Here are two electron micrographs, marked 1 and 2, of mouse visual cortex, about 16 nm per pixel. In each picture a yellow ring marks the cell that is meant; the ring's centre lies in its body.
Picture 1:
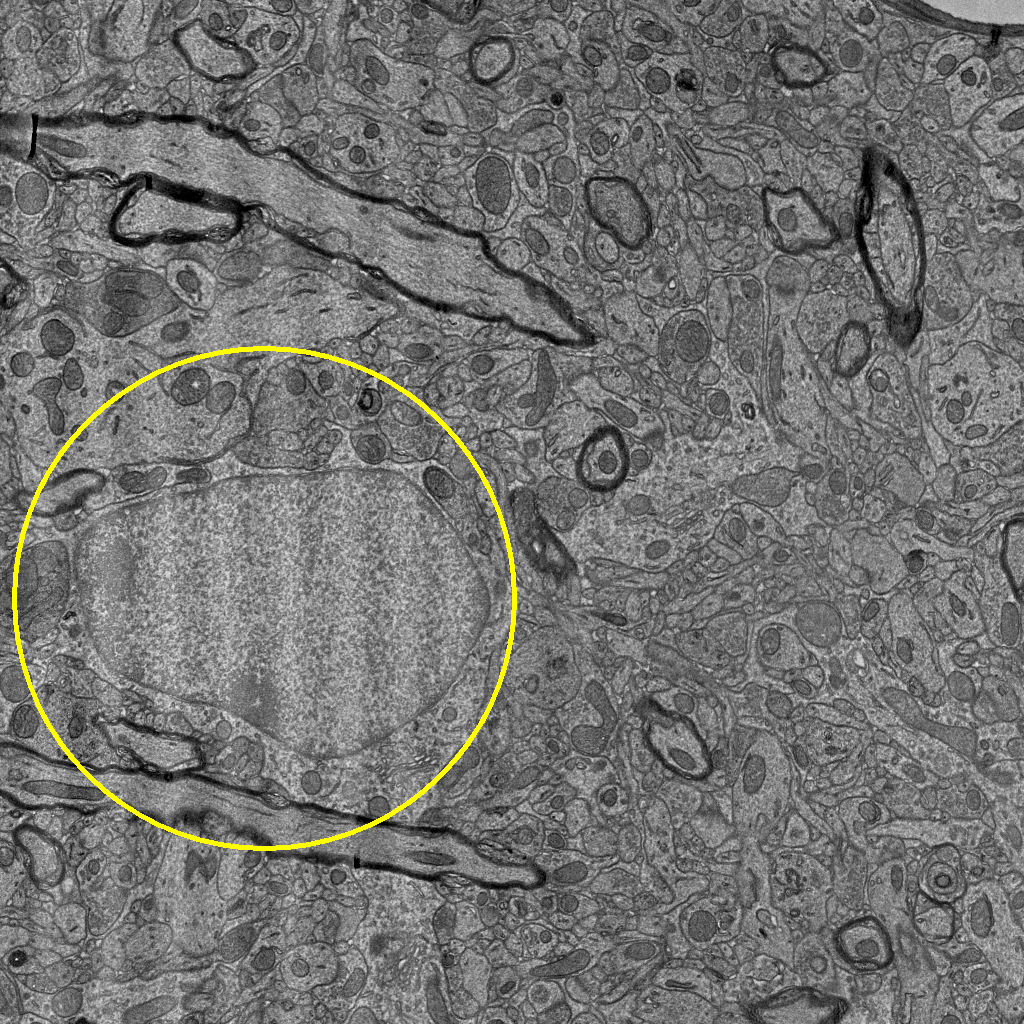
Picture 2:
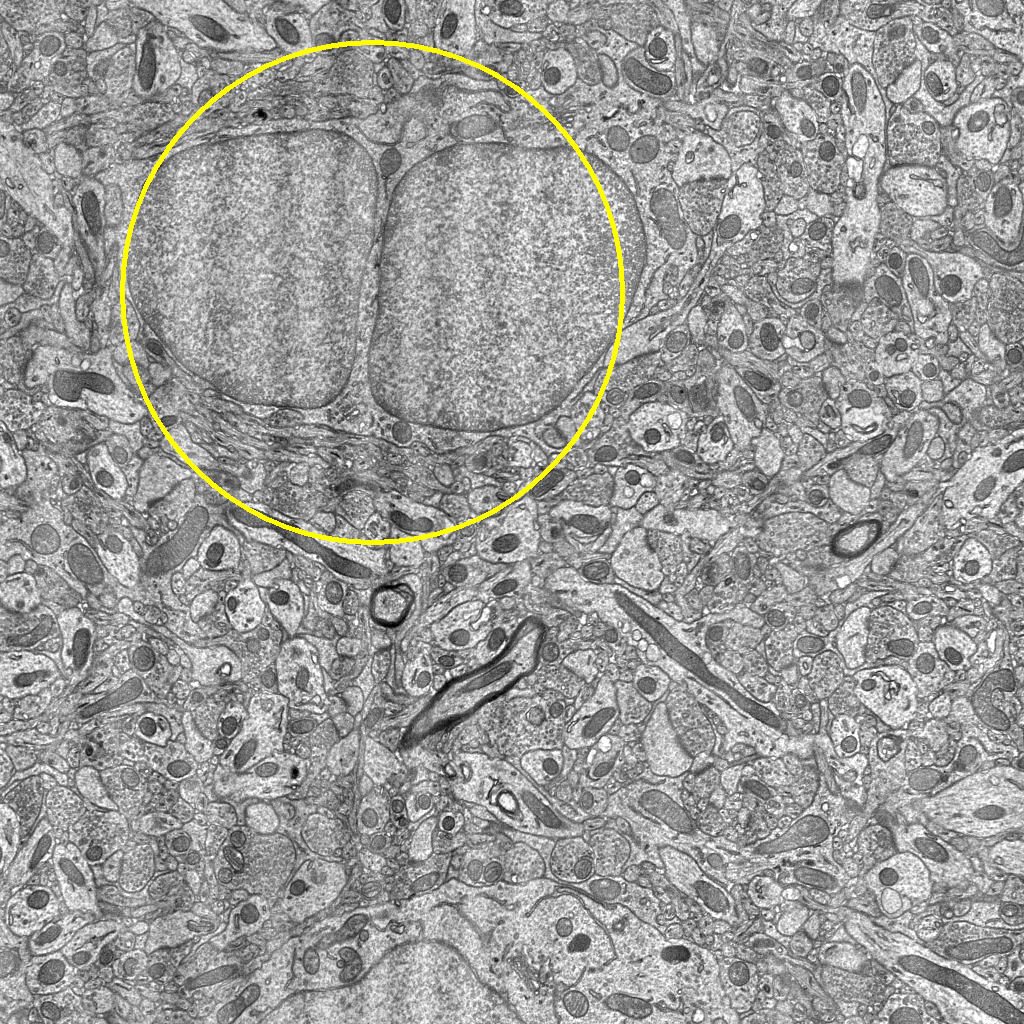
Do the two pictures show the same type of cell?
Yes, the two pictures both show astrocytes.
